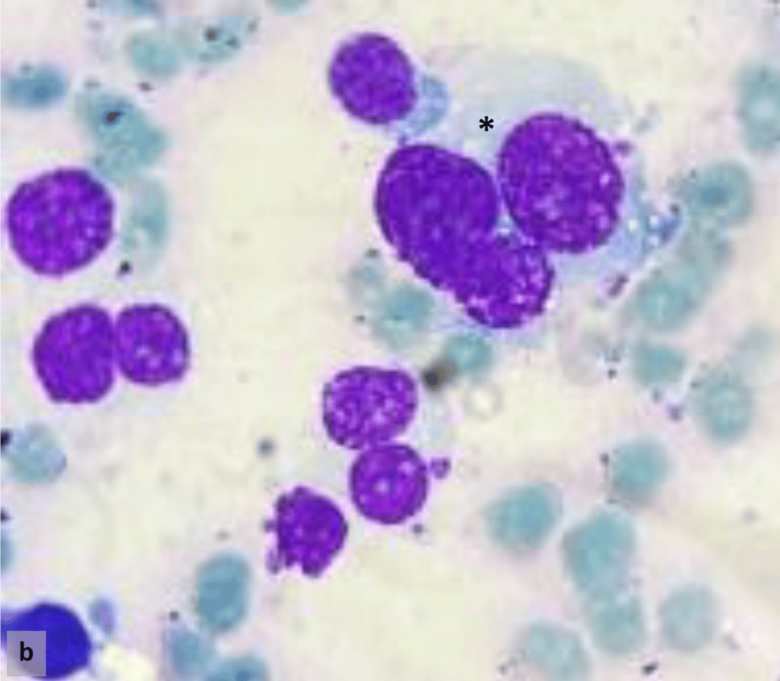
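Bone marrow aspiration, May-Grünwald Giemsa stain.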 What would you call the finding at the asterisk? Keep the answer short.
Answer: Multinucleation.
